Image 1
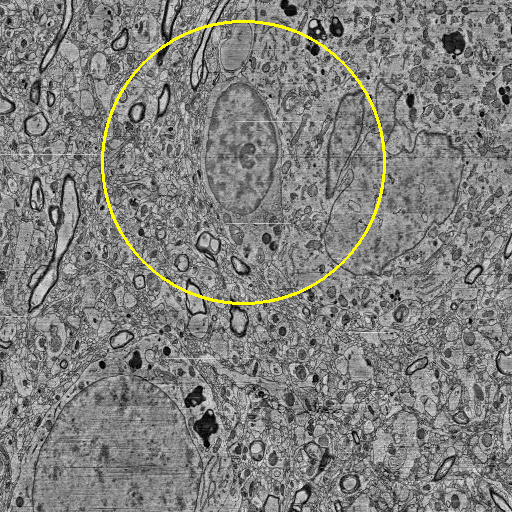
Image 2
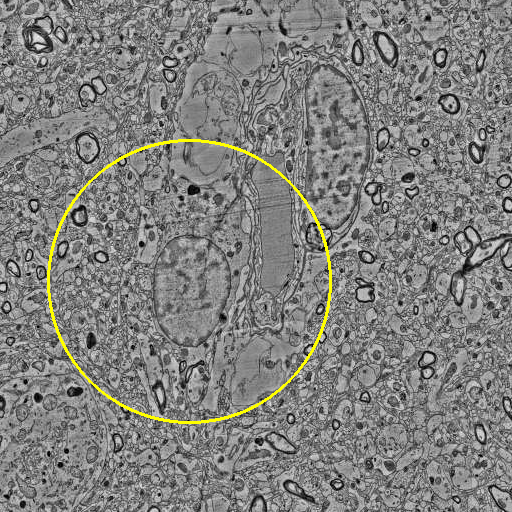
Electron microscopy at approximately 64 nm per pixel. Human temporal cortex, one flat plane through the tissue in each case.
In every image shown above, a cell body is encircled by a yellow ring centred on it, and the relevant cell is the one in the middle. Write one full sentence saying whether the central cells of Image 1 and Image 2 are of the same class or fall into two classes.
The cell at the ring's centre in Image 1 and its counterpart in Image 2 are of the same class.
